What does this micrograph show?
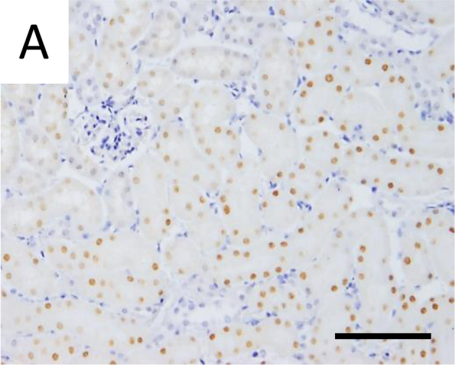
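This is kidney cortex with many tubules cut in cross section, lined by epithelial cells with pale, abundant cytoplasm, and a glomerulus with densely packed blue nuclei at the upper left. Many of the tubular epithelial nuclei are stained brown, while the glomerulus and the small interstitial cells between tubules have only blue nuclei.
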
